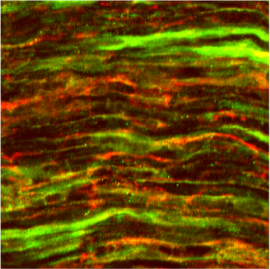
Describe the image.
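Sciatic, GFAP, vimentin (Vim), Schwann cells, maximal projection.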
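This is a longitudinal view of a peripheral nerve in which long, wavy fibre profiles run in parallel across the field. Bright green bands fill many of the elongated profiles, while thinner red threads and patches run between and along them, with yellow where the two overlap.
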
